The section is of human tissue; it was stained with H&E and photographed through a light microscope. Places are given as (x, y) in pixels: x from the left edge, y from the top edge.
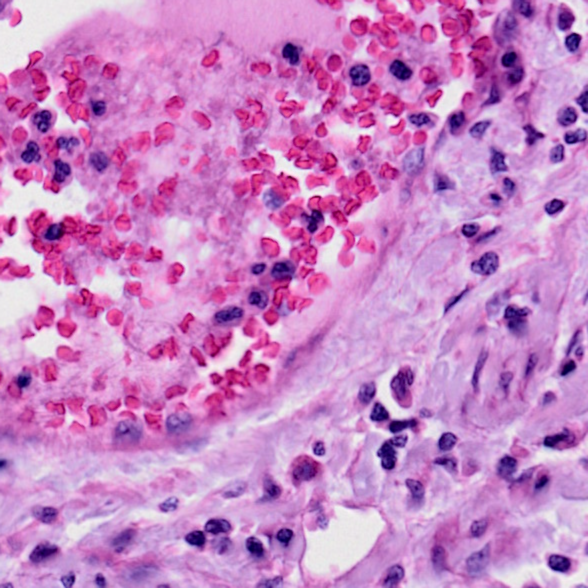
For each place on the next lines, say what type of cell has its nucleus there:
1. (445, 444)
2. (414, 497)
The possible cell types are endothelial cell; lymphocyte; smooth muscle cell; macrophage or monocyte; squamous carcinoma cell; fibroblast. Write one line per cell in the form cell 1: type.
cell 1: lymphocyte
cell 2: macrophage or monocyte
